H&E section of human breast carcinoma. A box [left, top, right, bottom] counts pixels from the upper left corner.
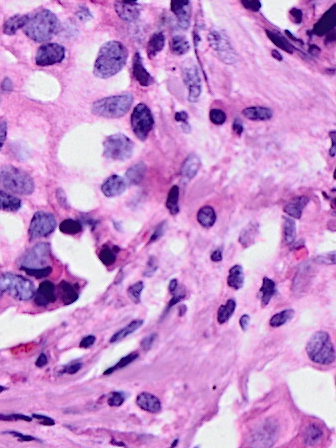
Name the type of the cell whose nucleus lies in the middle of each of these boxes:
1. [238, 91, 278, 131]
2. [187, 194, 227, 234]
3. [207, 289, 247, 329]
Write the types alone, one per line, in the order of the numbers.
mast cell
mast cell
lymphocyte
